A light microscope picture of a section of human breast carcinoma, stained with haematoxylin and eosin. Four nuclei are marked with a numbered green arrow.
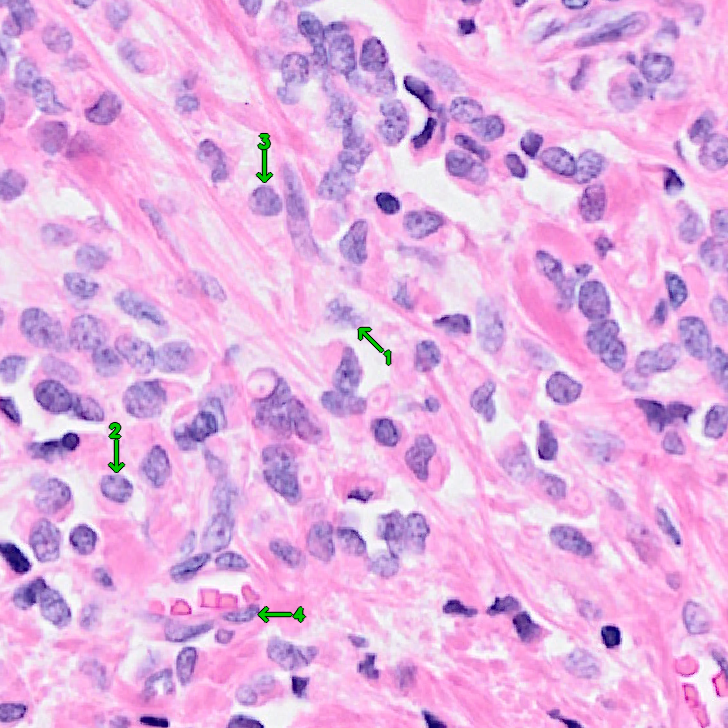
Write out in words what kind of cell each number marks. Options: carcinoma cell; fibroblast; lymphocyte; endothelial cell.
Cell 1 is a fibroblast, cell 2 is a carcinoma cell, cell 3 is a carcinoma cell and cell 4 is an endothelial cell.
